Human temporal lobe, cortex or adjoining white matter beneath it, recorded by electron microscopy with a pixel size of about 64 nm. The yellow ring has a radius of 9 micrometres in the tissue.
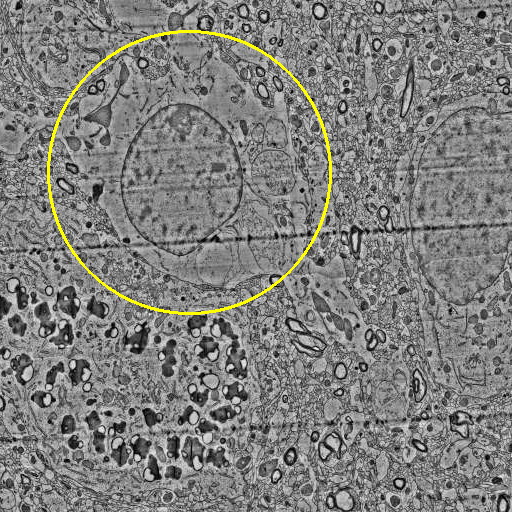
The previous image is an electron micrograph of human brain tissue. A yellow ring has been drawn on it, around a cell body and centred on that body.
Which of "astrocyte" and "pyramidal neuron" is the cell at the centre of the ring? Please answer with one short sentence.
The cell body at the centre of the ring belongs to an astrocyte.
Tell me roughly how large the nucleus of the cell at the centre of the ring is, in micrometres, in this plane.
Approximately 9 micrometres long and 8 micrometres wide, in this plane.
